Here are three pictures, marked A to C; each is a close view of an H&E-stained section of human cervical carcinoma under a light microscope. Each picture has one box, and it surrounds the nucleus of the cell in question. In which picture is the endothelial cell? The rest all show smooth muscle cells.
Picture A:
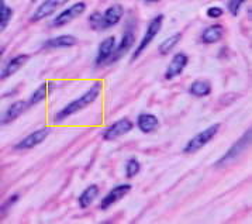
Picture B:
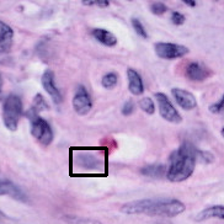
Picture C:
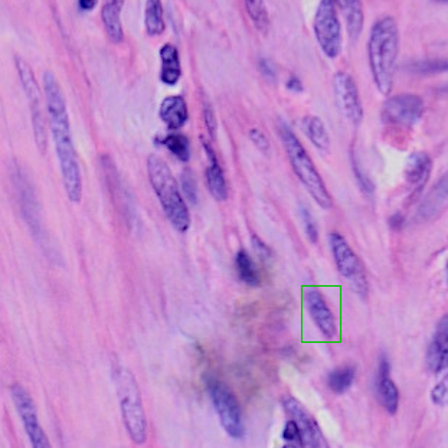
B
